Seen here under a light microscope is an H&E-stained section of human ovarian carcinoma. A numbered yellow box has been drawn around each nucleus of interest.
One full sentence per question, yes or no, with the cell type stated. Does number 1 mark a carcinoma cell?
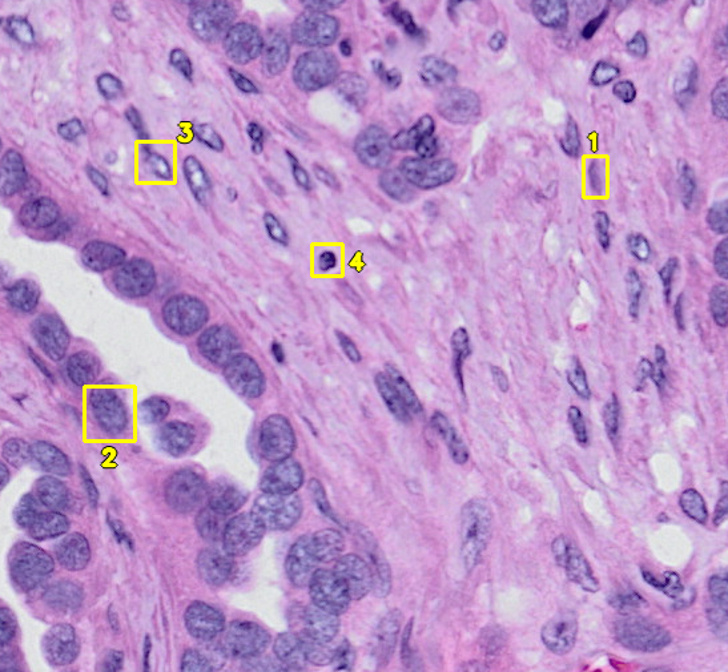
No, cell 1 is not a carcinoma cell: it is a fibroblast.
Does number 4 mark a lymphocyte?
Yes, looking at number 4, that cell is a lymphocyte.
